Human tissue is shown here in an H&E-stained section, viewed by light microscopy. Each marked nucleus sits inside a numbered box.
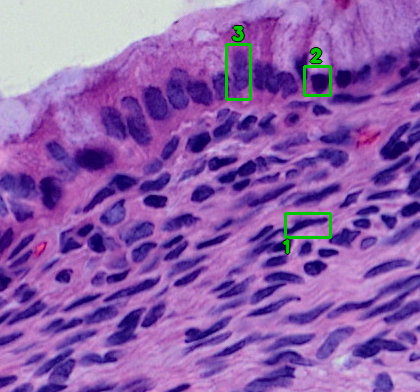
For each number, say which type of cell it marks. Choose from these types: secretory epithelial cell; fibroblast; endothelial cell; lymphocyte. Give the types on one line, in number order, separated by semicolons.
fibroblast; secretory epithelial cell; secretory epithelial cell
